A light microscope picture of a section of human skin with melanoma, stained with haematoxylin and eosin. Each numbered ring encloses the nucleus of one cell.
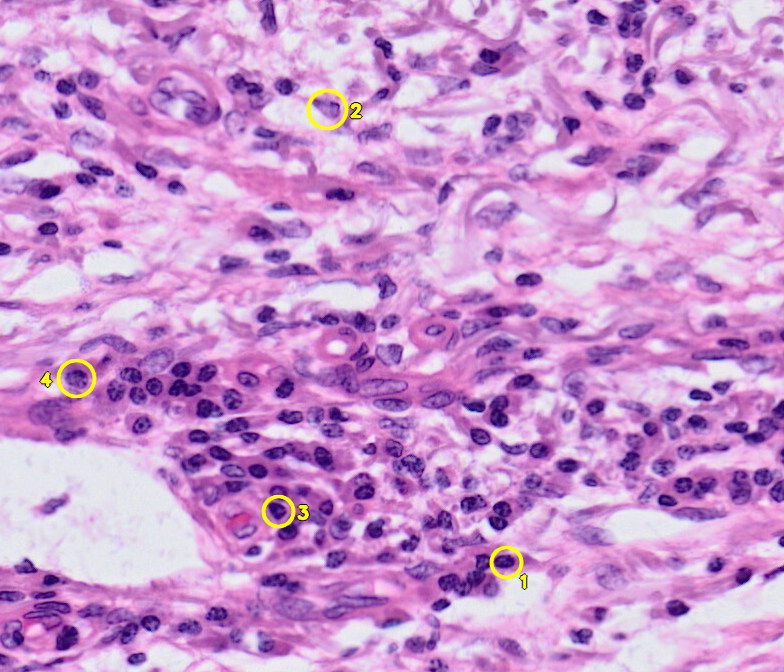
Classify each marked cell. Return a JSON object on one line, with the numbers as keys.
{"1": "plasma cell", "2": "fibroblast or myofibroblast", "3": "plasma cell", "4": "plasma cell"}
